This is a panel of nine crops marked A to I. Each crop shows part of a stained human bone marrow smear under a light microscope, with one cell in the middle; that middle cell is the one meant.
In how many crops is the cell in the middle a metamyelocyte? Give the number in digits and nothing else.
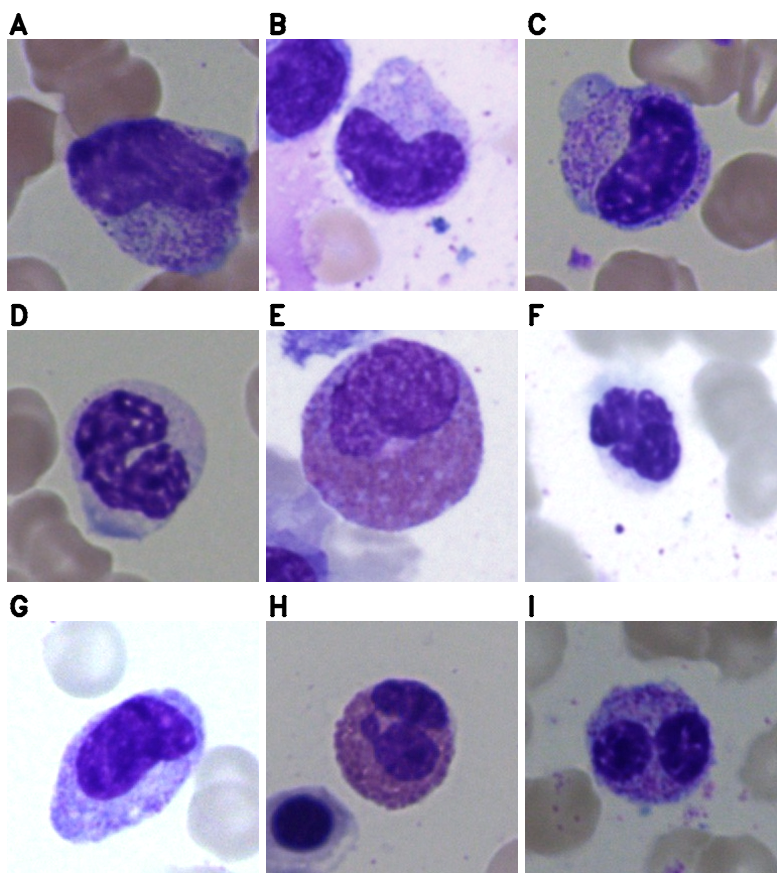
4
